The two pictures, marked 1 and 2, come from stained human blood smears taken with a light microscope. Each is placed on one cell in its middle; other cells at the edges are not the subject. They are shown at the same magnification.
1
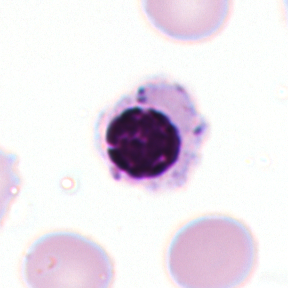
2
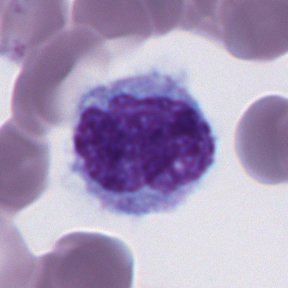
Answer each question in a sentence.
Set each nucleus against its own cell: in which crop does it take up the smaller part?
In picture 1 the nucleus takes up the smaller part of its cell.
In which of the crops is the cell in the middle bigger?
It is the cell in picture 2, about 2 times as large in area as the cell in picture 1.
